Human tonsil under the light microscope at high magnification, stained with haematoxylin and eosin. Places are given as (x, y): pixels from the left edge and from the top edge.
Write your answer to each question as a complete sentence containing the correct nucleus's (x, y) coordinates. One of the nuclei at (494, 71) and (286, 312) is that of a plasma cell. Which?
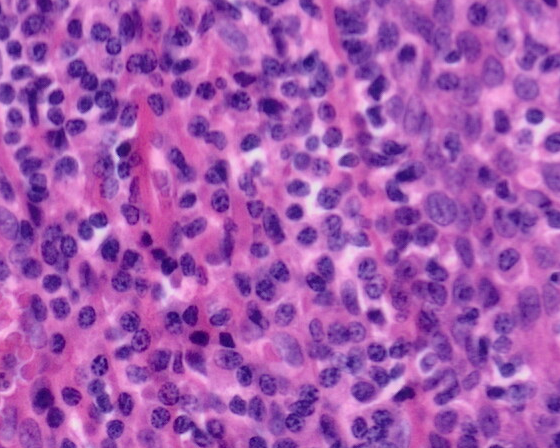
Of the two nuclei present, the one at (286, 312) is within a plasma cell.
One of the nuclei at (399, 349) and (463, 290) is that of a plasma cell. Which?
As for which of the two, the nucleus at (399, 349) belongs to a plasma cell.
